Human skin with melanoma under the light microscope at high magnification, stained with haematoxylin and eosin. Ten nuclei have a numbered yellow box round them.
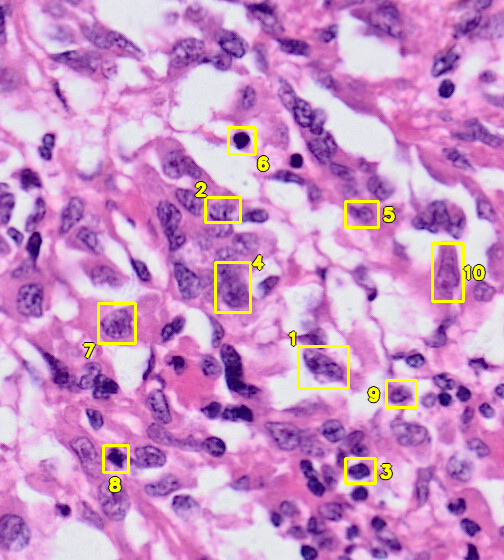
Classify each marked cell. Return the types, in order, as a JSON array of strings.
["melanoma cell", "melanoma cell", "lymphocyte", "melanoma cell", "melanoma cell", "lymphocyte", "melanoma cell", "lymphocyte", "macrophage or monocyte", "melanoma cell"]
